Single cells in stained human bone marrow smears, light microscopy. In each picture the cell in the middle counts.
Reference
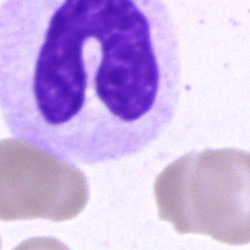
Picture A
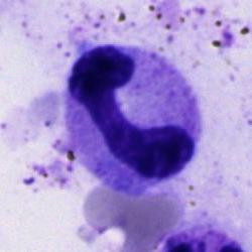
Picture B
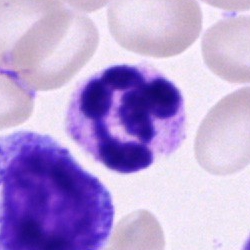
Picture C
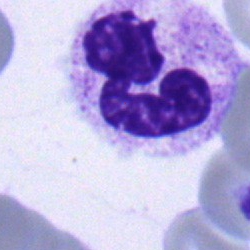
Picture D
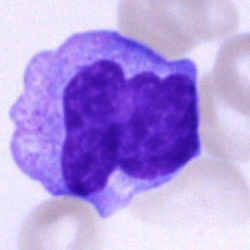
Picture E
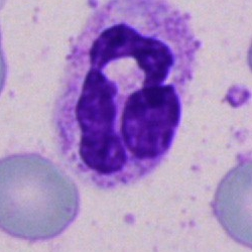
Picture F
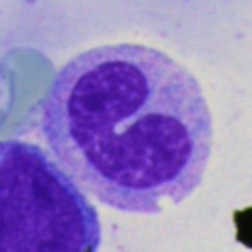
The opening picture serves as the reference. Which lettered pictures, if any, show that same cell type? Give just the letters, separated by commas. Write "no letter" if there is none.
A, F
